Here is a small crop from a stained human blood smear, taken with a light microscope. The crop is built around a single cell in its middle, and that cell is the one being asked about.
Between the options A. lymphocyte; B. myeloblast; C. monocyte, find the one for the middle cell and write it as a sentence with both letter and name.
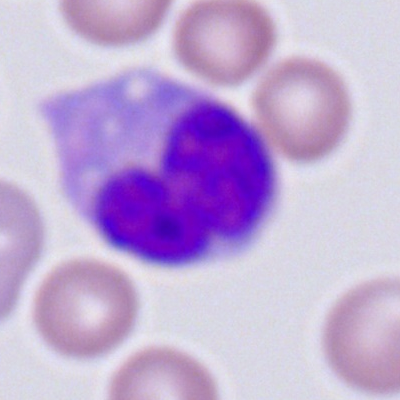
The correct identification, given in option C, is that the central cell is a monocyte.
